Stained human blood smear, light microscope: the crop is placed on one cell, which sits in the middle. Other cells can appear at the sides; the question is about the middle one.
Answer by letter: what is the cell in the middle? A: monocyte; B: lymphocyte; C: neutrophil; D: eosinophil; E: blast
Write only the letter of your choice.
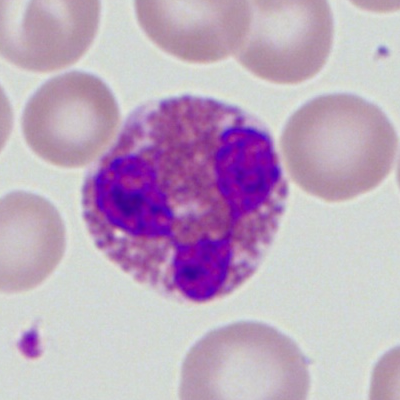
D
